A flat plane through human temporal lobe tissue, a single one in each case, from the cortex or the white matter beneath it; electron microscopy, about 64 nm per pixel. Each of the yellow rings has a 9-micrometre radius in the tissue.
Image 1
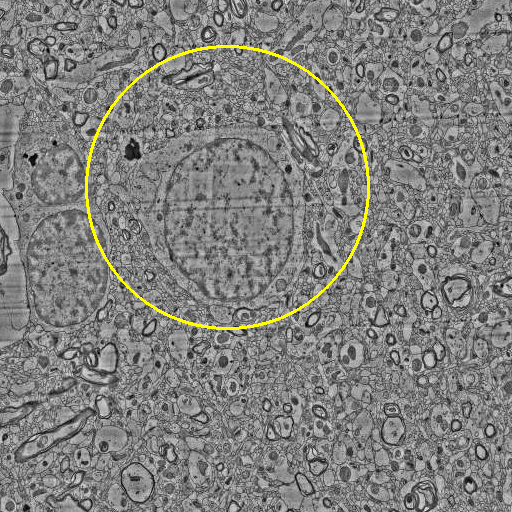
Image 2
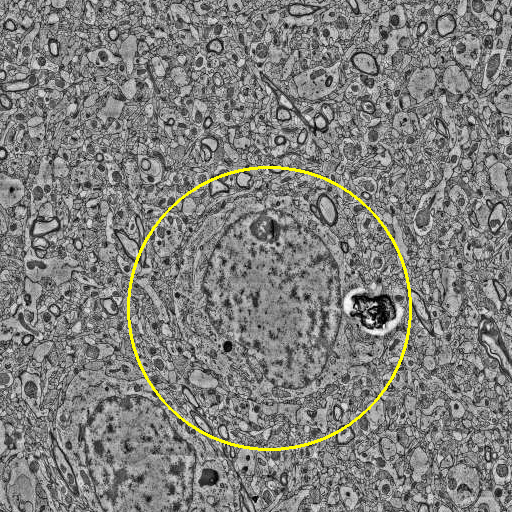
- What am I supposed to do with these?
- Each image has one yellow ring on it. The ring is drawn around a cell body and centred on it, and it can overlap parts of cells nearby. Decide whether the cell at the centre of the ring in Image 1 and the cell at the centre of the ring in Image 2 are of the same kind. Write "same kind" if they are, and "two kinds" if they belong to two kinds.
same kind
